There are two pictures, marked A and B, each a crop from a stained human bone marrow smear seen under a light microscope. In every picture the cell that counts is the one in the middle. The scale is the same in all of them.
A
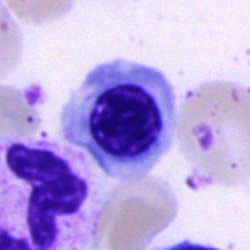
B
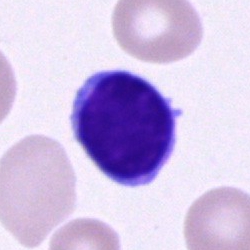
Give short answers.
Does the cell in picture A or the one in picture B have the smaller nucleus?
A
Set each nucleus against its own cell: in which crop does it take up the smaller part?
A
